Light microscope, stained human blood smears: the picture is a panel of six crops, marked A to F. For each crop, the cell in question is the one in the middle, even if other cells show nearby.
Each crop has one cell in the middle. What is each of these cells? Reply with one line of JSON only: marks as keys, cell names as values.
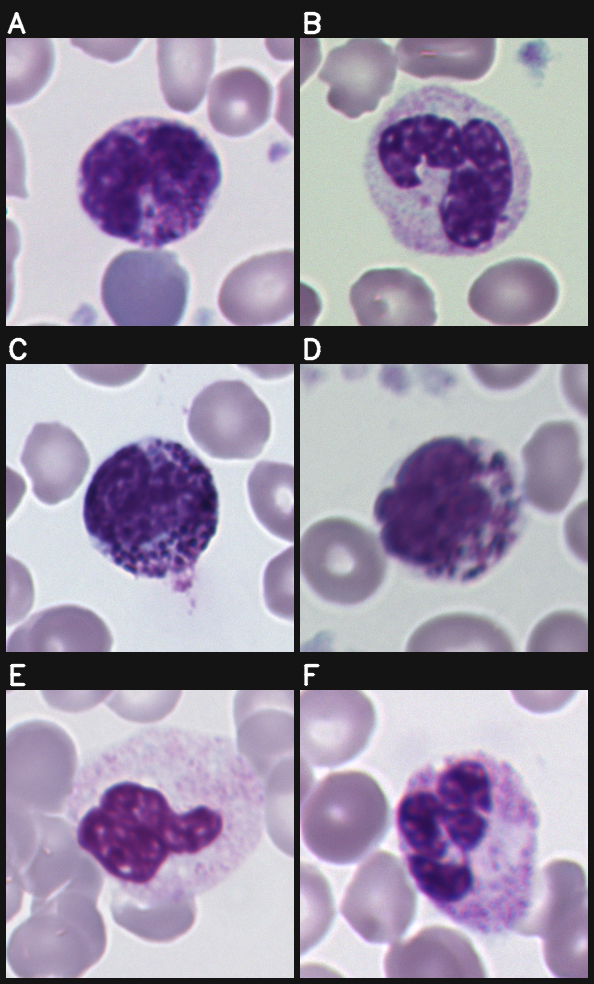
{"A": "basophil", "B": "segmented neutrophil", "C": "basophil", "D": "basophil", "E": "segmented neutrophil", "F": "segmented neutrophil"}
